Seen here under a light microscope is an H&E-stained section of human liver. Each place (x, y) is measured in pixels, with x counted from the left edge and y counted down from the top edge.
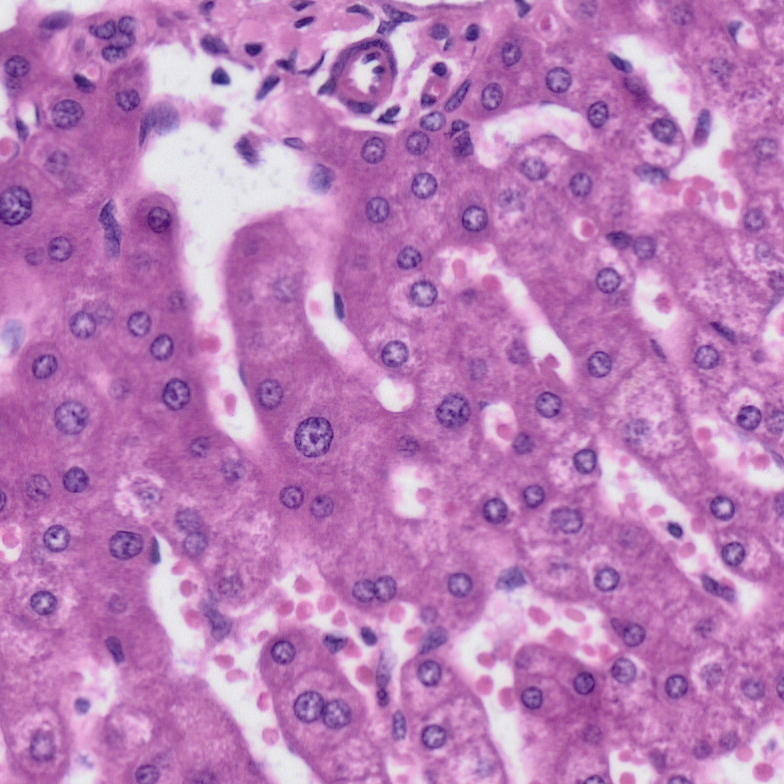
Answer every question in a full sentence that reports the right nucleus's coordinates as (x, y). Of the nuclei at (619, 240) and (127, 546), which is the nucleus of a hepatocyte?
So, of the two, the nucleus at (127, 546) is the one belonging to a hepatocyte.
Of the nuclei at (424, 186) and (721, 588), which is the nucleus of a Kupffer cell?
The nucleus at (721, 588) is the one that belongs to a Kupffer cell.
